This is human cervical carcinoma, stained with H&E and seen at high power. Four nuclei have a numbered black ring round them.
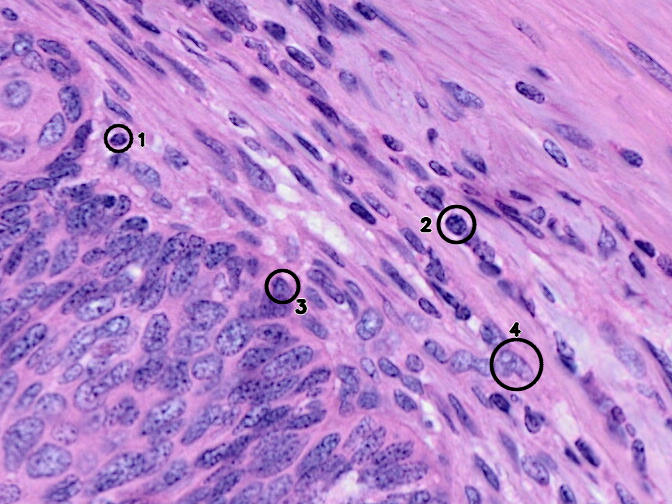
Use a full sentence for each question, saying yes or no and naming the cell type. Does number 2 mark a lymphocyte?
Yes, number 2 in this section denotes a lymphocyte.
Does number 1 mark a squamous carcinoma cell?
No, cell 1 is not a squamous carcinoma cell; a lymphocyte is the correct identification.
